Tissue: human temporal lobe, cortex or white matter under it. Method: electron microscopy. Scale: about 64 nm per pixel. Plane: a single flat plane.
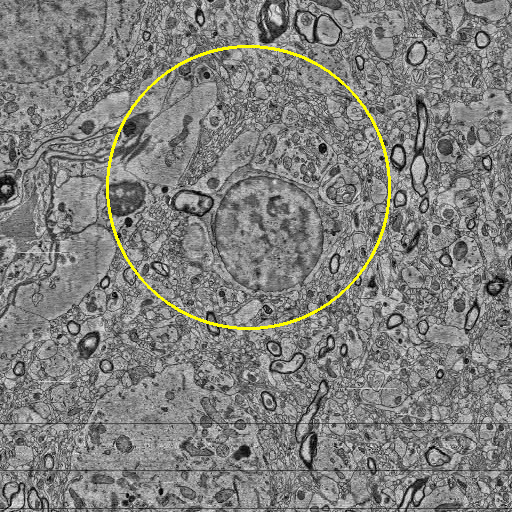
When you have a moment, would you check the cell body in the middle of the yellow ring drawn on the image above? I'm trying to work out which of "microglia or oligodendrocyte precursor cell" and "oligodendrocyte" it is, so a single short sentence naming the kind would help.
This cell body belongs to an oligodendrocyte.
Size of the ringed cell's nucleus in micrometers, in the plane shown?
In this plane the nucleus is about 7 micrometres across.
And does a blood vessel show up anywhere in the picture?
Yes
